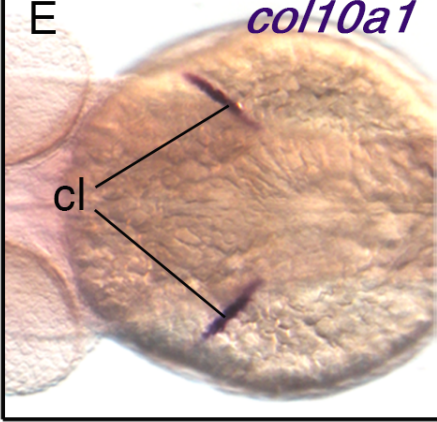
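The rods lie symmetrically on either side, running obliquely at the front of the yolk, where the pectoral fin buds sit. The rest of the embryo and the yolk, with its polygonal surface texture, are unstained.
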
